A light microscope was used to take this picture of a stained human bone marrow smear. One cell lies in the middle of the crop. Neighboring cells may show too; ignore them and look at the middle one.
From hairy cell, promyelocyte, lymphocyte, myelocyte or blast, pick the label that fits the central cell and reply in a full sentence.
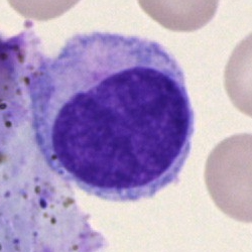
In this crop, the cell at the very middle is a hairy cell.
